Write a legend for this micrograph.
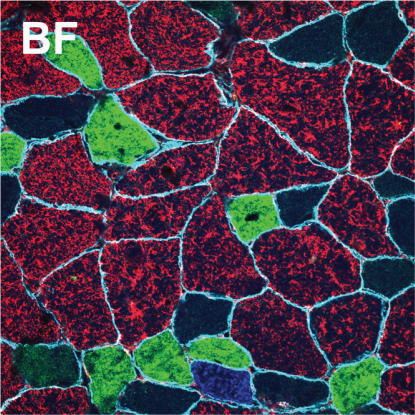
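This is a cross-section of skeletal muscle, cut across its myofibers, each seen as a polygonal profile fitted tightly against its neighbours. A thin turquoise line traces the border of every fiber, so the mosaic is easy to follow. Most fibers are the larger ones filled with a speckled red pattern. Scattered among them are smaller fibers filled evenly with green, several dark fibers that carry no colour inside their border, and a single fiber filled with blue near the bottom.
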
